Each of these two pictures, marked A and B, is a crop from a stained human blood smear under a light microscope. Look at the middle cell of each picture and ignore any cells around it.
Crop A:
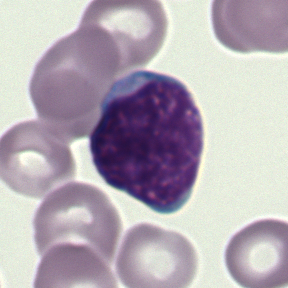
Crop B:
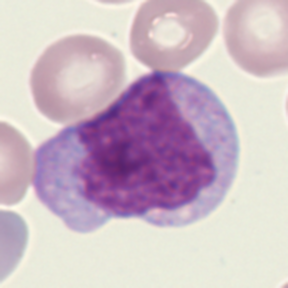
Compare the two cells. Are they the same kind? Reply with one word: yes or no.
no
